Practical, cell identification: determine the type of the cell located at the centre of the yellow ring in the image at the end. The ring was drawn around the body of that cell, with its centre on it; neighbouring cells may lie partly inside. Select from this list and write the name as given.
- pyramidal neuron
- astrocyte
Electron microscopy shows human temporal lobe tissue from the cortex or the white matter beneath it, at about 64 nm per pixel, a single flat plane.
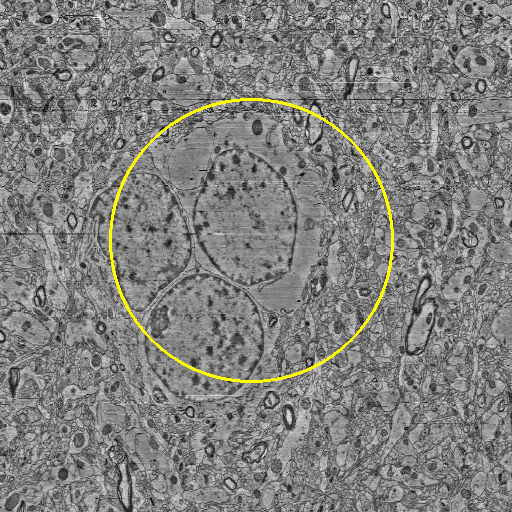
astrocyte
